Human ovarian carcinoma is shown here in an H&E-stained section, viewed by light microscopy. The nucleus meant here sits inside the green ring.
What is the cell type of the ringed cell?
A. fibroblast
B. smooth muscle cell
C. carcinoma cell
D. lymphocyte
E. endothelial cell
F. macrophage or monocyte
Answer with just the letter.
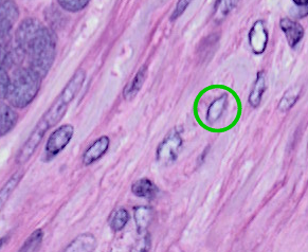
A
